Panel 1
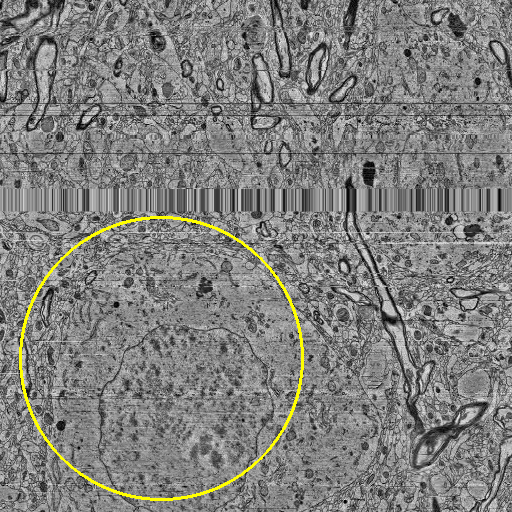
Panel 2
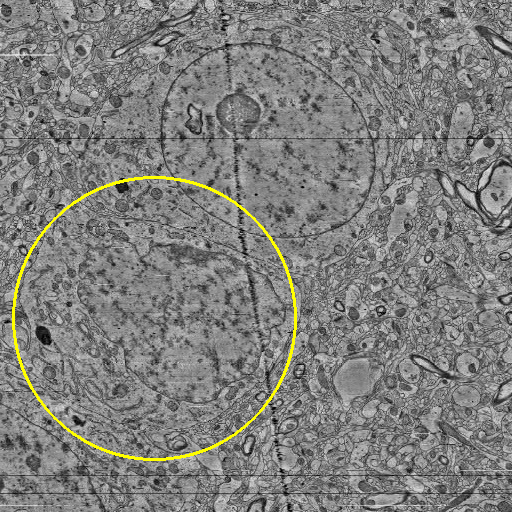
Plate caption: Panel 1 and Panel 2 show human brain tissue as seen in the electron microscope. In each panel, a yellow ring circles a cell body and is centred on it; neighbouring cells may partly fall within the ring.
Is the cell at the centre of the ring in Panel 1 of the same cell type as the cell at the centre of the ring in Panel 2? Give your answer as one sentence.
No, the two cells are of two types.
